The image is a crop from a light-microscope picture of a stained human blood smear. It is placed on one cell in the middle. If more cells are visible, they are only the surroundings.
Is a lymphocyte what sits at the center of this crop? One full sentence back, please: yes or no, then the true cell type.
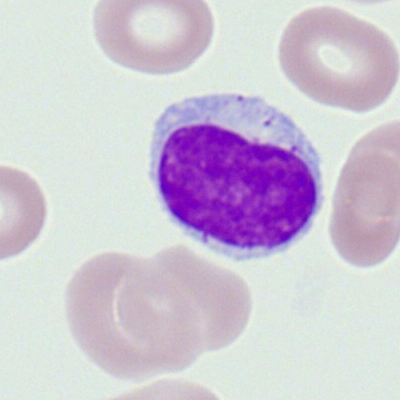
Yes, that is a lymphocyte in the middle of the crop.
